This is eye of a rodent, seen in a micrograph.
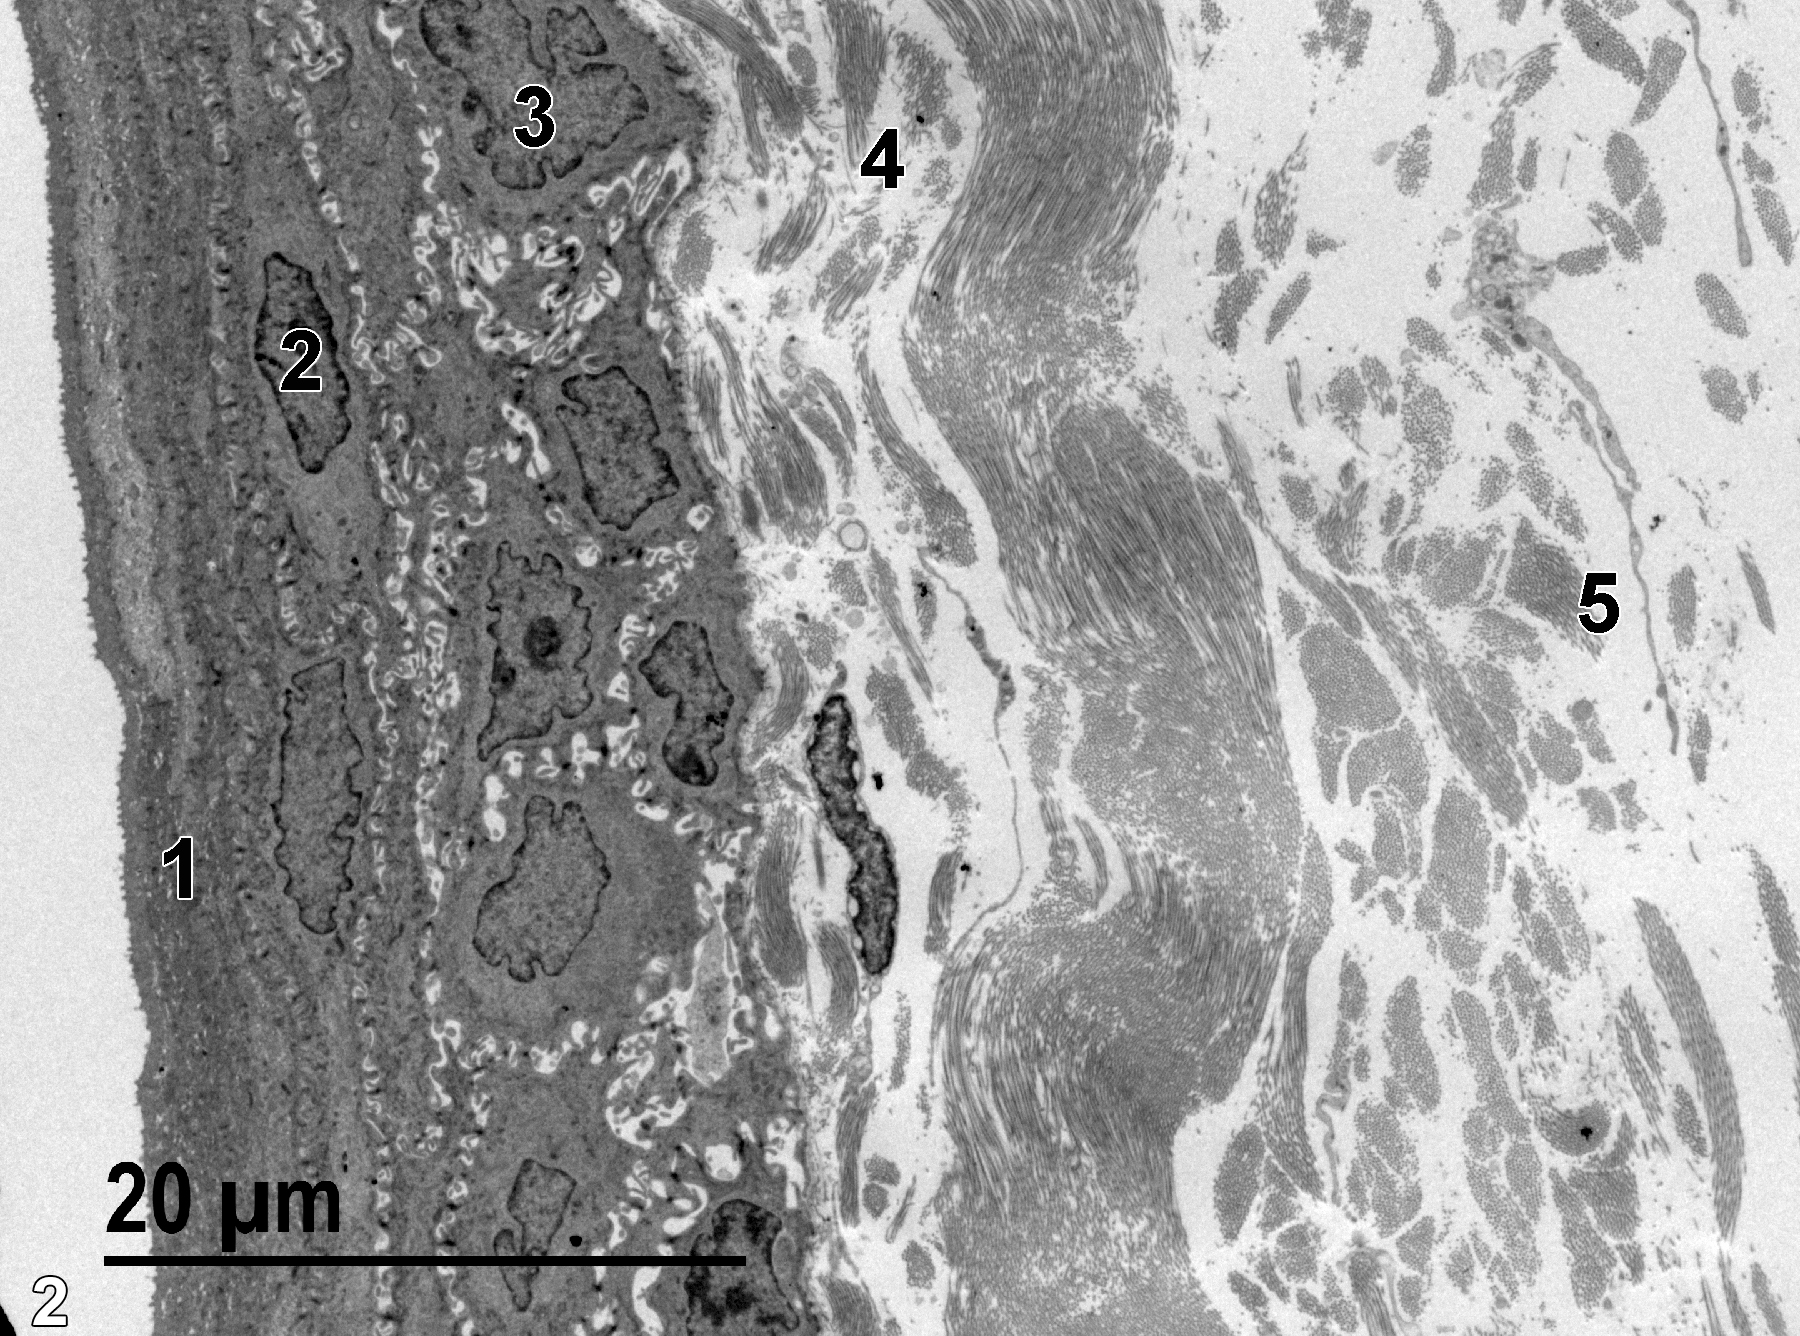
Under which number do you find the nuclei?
2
